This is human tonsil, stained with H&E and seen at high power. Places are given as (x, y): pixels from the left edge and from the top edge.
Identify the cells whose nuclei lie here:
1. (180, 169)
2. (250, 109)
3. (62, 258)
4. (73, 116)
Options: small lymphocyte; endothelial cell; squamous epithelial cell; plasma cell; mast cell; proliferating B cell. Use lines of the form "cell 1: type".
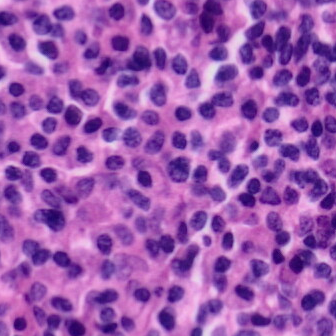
cell 1: proliferating B cell
cell 2: plasma cell
cell 3: plasma cell
cell 4: plasma cell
